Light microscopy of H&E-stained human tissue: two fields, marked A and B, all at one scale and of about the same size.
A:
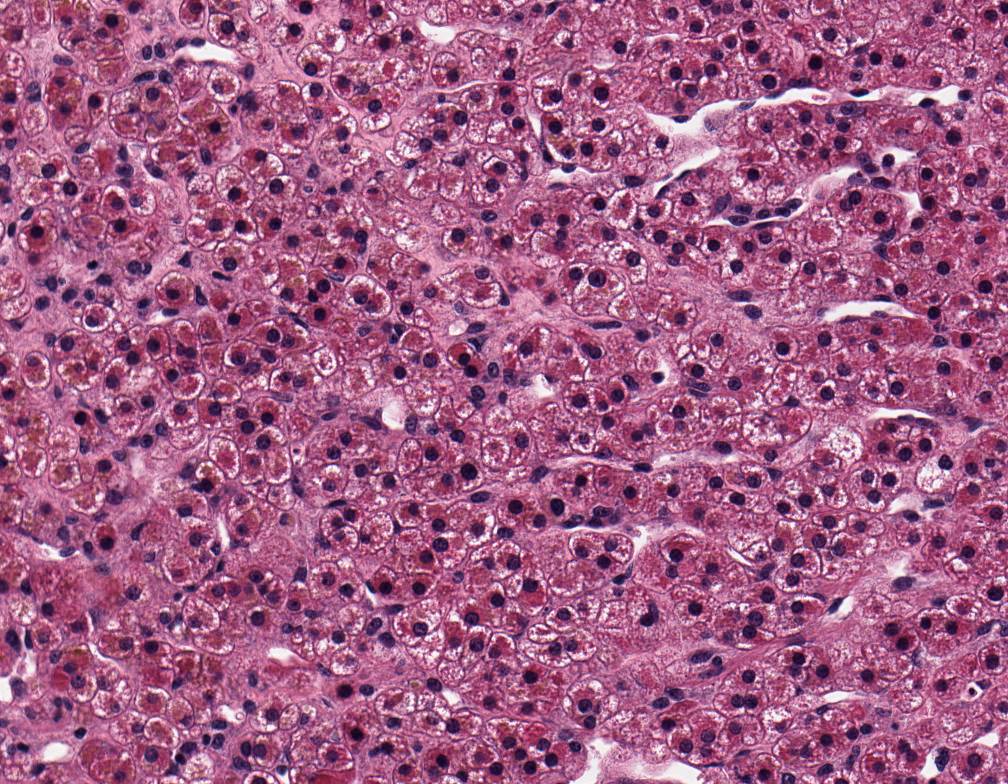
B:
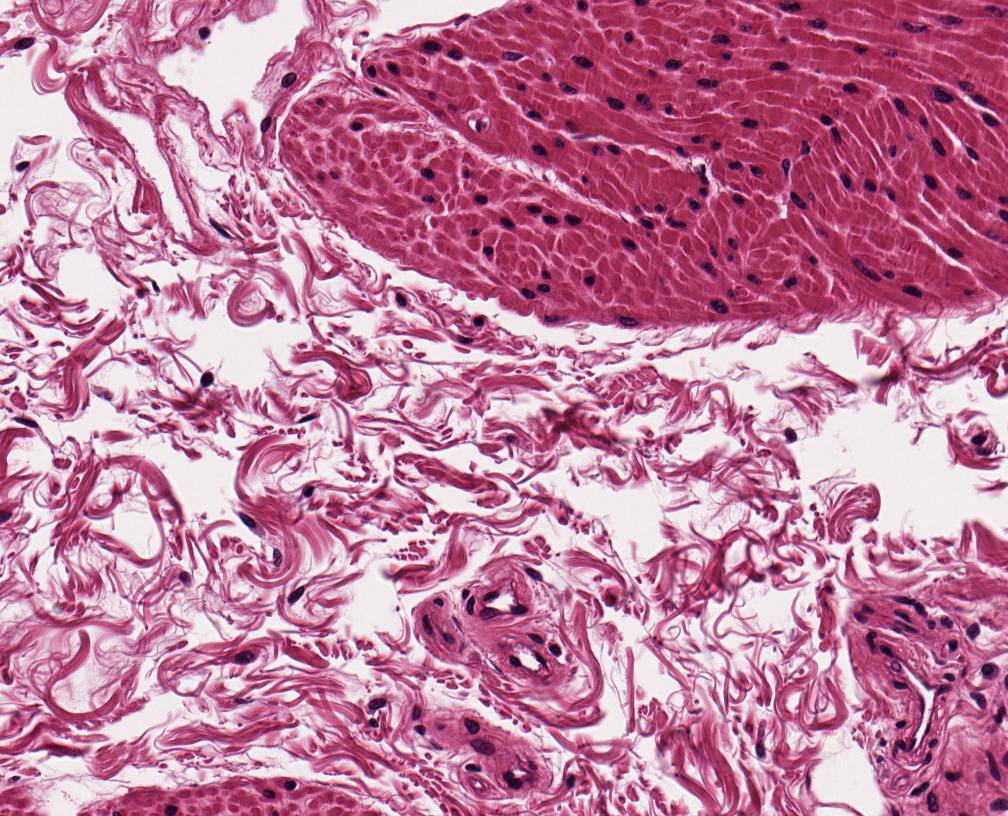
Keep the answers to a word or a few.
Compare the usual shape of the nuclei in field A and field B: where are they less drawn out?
A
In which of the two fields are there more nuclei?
A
